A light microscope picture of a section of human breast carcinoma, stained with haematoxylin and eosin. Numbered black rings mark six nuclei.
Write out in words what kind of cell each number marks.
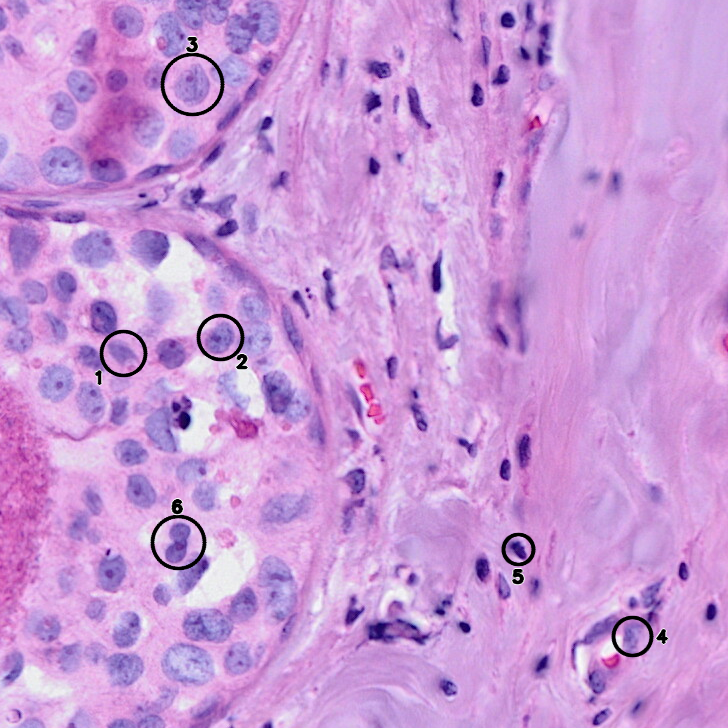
Cell 1 is a carcinoma cell, cell 2 is a carcinoma cell, cell 3 is a carcinoma cell, cell 4 is an endothelial cell, cell 5 is a lymphocyte and cell 6 is a carcinoma cell.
